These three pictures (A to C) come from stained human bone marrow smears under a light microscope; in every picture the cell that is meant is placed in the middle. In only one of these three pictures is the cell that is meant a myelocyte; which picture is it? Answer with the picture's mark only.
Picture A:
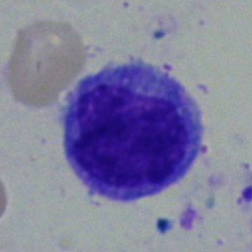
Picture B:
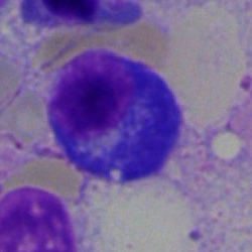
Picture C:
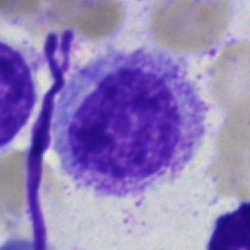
C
